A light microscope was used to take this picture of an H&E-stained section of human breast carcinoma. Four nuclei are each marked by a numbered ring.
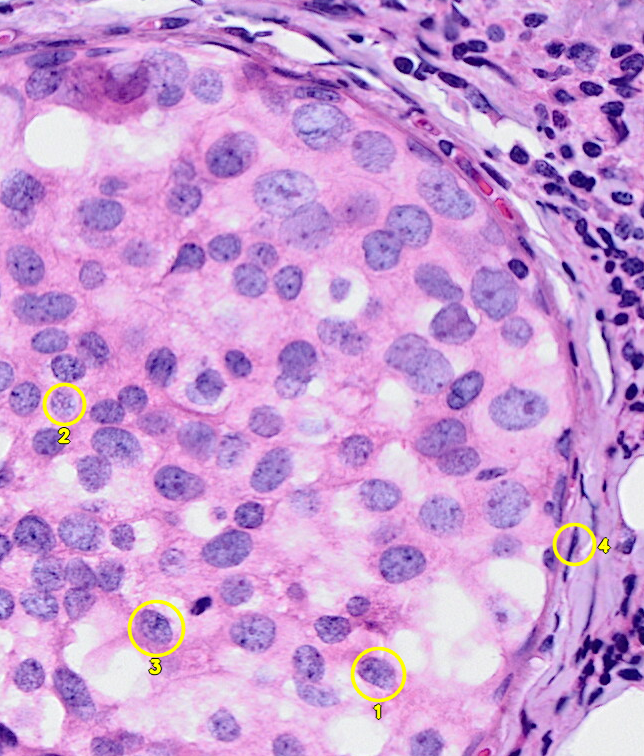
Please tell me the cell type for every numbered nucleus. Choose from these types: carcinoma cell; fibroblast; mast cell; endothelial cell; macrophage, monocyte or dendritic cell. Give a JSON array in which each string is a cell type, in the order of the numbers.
["carcinoma cell", "carcinoma cell", "carcinoma cell", "fibroblast"]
